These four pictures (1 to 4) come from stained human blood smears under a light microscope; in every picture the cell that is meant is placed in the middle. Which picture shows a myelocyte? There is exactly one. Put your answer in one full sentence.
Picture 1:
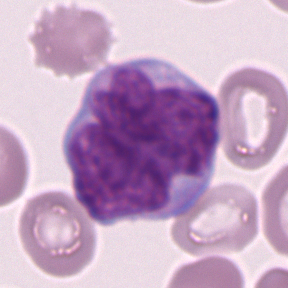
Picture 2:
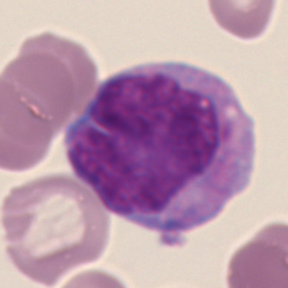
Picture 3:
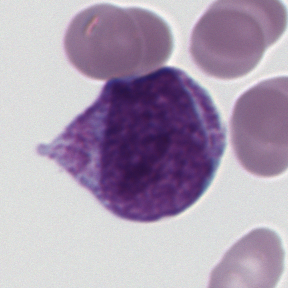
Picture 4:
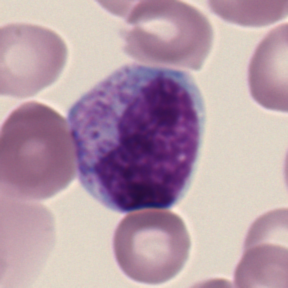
The cell in picture 4 is the myelocyte.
